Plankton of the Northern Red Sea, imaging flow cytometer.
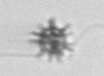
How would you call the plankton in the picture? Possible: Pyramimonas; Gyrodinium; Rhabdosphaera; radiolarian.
I would call it Rhabdosphaera.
